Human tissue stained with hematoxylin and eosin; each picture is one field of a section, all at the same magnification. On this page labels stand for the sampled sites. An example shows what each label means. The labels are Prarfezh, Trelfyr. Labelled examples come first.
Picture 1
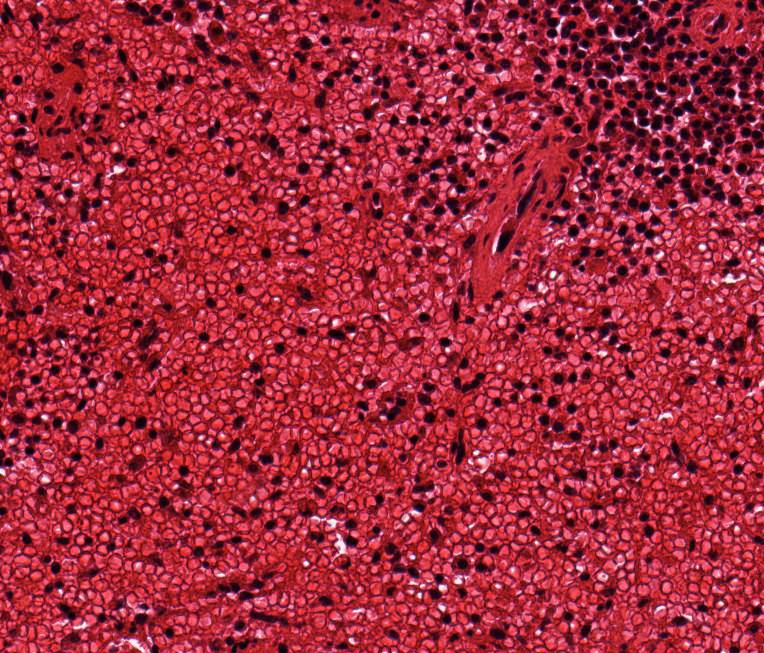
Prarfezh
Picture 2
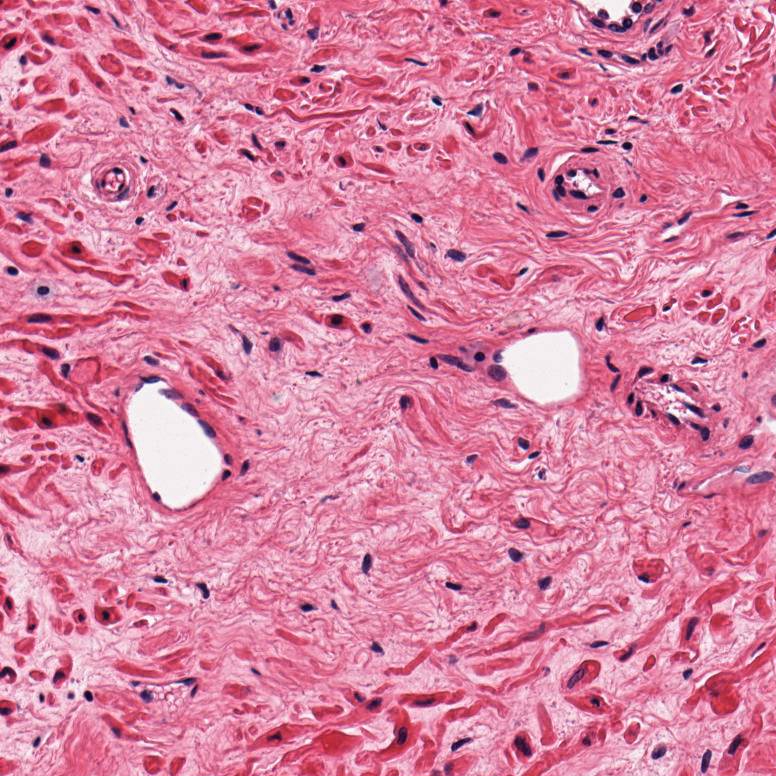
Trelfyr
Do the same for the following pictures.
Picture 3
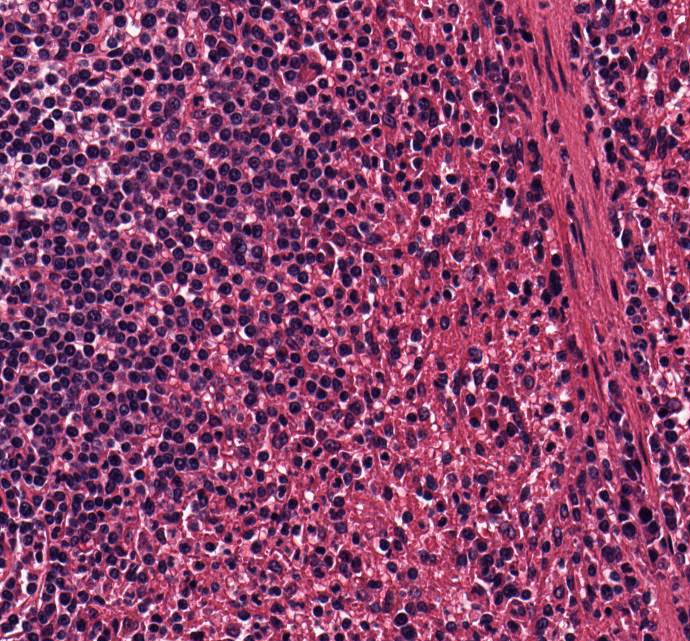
Prarfezh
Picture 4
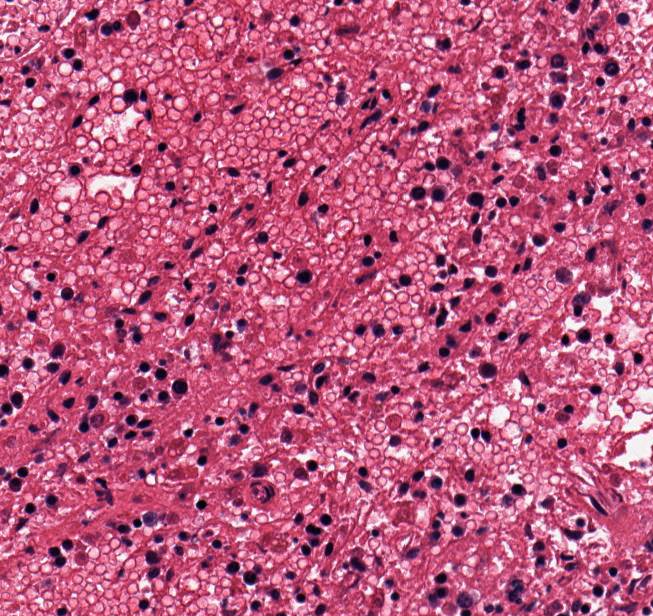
Prarfezh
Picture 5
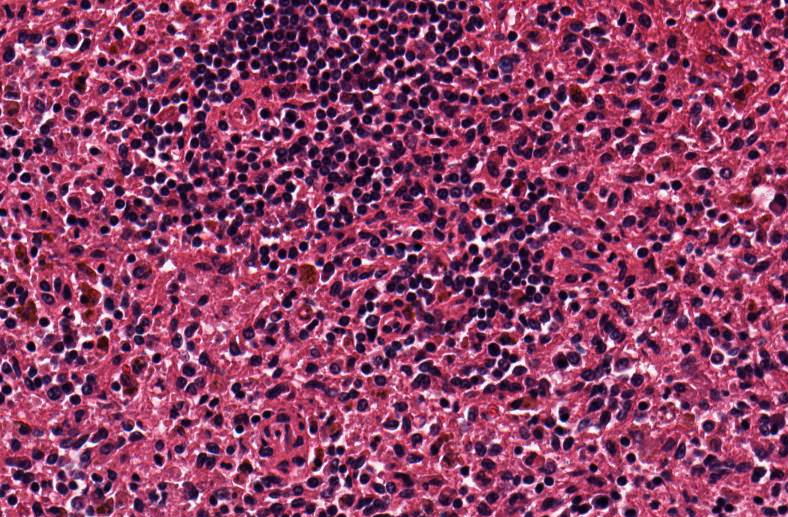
Prarfezh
